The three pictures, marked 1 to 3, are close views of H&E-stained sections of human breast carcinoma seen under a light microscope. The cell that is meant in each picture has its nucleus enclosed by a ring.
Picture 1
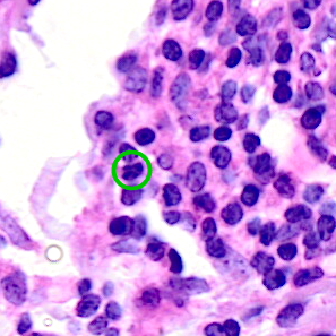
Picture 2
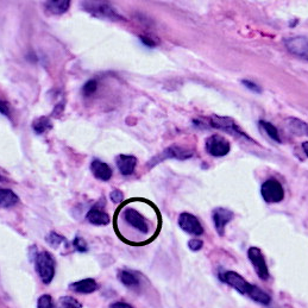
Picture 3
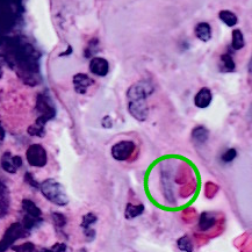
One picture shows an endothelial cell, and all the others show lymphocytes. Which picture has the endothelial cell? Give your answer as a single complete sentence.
Picture 3 is the one that shows the endothelial cell.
